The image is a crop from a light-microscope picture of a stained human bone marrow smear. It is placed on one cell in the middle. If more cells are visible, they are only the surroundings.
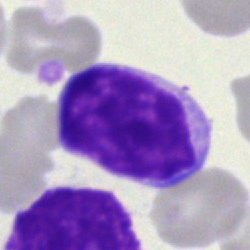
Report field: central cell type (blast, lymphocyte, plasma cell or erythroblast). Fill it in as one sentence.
Where the crop is centred, there is a lymphocyte.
